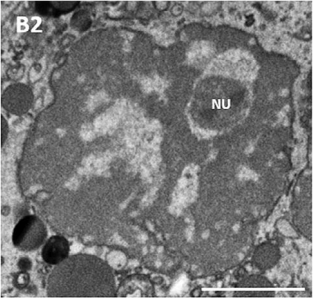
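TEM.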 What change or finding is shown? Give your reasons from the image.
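The nucleus is irregular in outline. Dark chromatin forms large dense masses separated by pale areas.
Hence: clumped chromatin.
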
